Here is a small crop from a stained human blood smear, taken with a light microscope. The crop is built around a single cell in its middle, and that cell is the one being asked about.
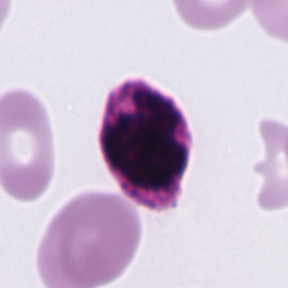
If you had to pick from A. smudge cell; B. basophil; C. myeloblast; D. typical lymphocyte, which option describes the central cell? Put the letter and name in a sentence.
The cell shown centrally is a basophil; option B is the correct option.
